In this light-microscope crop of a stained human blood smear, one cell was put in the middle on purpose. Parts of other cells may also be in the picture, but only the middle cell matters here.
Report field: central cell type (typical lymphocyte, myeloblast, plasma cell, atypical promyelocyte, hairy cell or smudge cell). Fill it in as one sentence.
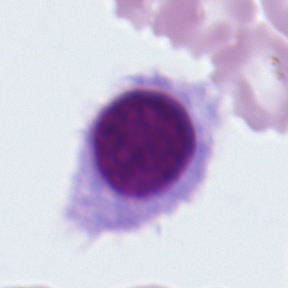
Present in the middle of the crop is a hairy cell.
